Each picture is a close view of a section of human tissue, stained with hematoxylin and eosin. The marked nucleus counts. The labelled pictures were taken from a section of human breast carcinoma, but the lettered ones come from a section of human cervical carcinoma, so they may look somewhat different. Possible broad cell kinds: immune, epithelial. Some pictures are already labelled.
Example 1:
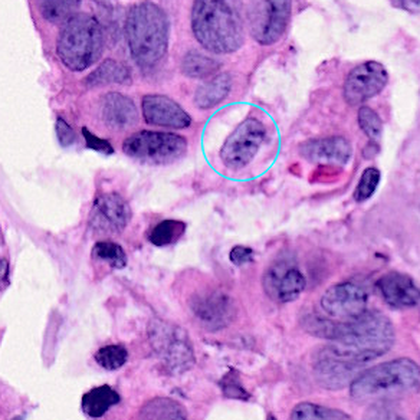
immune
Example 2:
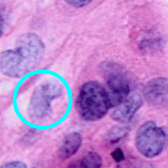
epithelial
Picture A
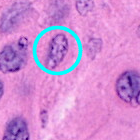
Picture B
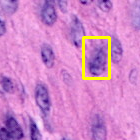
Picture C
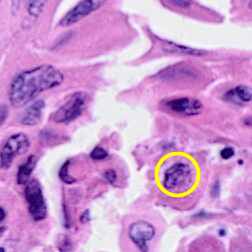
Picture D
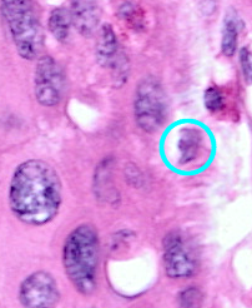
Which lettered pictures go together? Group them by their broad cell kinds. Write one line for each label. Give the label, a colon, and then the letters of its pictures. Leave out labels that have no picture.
immune: C, D
epithelial: A, B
